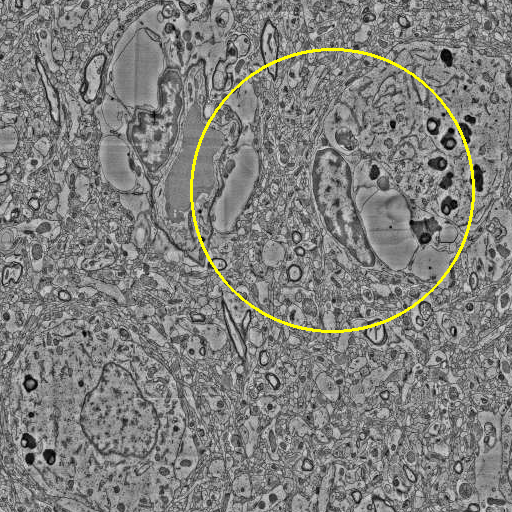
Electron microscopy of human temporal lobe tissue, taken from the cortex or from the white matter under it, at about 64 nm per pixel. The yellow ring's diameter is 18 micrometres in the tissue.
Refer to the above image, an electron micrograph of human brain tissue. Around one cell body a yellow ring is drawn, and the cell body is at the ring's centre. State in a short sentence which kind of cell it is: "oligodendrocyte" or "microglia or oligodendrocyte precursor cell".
The centre of the ring falls on a microglial cell or oligodendrocyte precursor cell.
